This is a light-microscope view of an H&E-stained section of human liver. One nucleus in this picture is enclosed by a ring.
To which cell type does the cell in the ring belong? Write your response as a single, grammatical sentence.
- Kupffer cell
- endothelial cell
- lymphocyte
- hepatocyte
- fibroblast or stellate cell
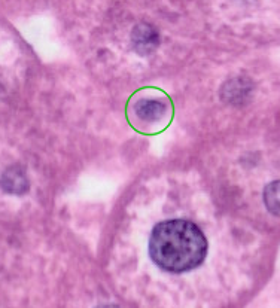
The cell type of the cell in the ring is that of a Kupffer cell.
